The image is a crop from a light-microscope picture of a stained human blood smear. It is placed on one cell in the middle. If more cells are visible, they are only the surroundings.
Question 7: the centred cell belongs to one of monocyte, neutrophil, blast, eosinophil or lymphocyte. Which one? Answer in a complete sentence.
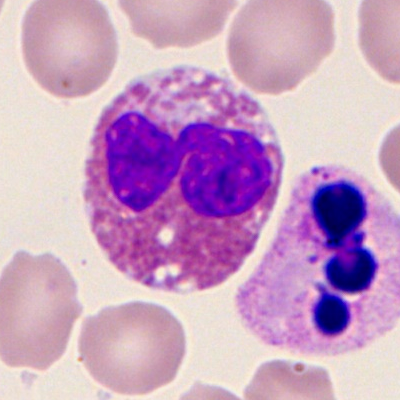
The cell that lies at the centre of the crop is an eosinophil.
